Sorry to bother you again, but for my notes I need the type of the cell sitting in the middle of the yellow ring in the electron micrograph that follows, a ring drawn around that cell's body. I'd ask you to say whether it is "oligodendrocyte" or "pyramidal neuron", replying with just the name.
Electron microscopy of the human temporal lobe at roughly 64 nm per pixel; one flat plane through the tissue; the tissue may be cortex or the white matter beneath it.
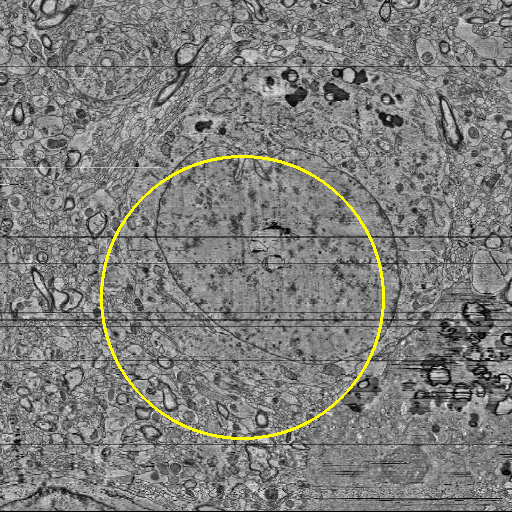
pyramidal neuron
